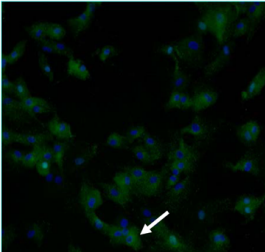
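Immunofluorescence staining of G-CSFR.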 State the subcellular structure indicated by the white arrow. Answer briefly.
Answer: Cytoplasm.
